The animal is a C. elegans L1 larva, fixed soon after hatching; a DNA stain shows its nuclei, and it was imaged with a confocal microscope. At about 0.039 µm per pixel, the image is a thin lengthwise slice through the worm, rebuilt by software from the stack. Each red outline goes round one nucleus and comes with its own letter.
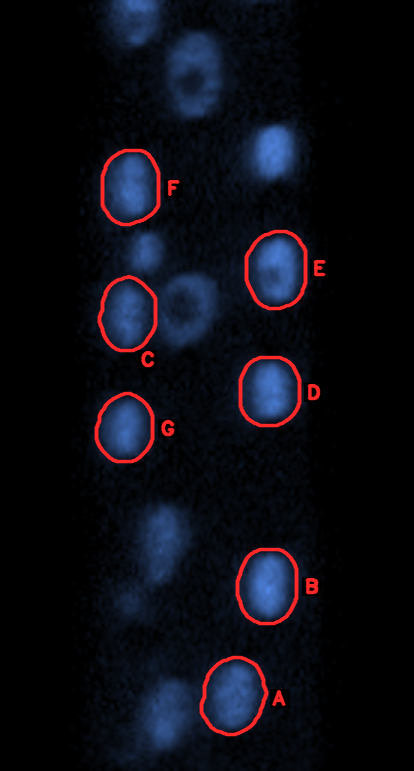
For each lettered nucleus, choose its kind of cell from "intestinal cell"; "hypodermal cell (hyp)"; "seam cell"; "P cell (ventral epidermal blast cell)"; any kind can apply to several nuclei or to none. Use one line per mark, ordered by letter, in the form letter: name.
A: intestinal cell
B: seam cell
C: seam cell
D: P cell (ventral epidermal blast cell)
E: seam cell
F: P cell (ventral epidermal blast cell)
G: P cell (ventral epidermal blast cell)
